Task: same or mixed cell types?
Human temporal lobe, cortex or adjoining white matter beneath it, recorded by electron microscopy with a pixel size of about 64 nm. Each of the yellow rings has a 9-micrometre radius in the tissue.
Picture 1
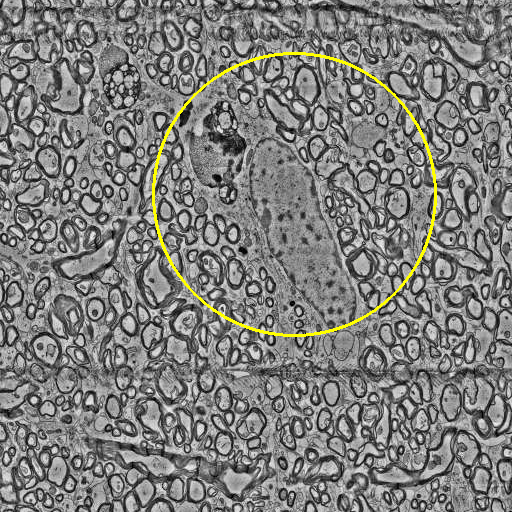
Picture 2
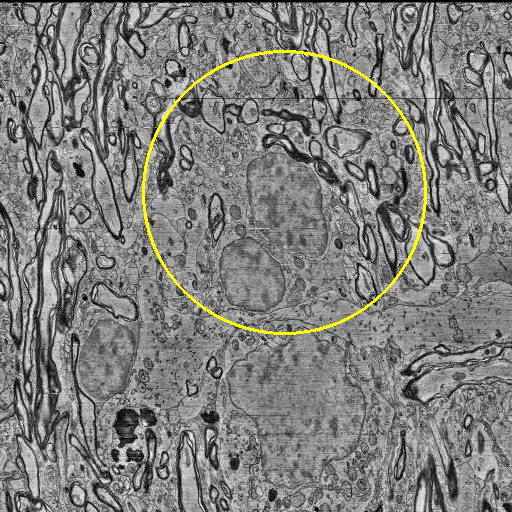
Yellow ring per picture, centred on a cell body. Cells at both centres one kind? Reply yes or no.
no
